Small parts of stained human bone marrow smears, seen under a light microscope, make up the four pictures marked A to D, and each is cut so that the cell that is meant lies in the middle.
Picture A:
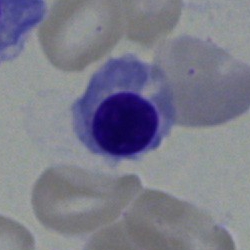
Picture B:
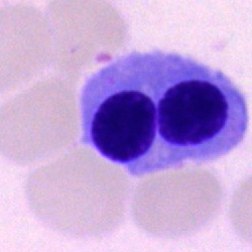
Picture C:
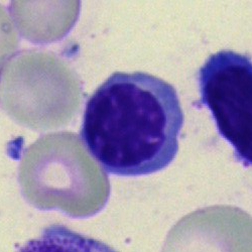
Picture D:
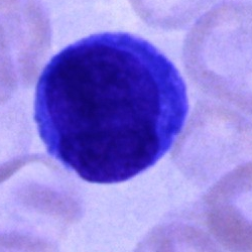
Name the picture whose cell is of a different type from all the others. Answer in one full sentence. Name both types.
The others show erythroblasts, but picture D shows a blast.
